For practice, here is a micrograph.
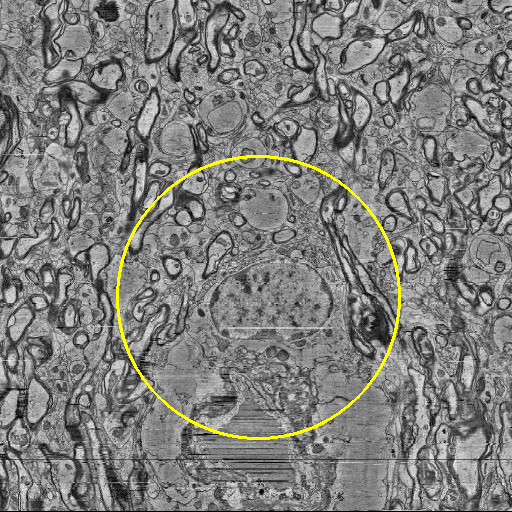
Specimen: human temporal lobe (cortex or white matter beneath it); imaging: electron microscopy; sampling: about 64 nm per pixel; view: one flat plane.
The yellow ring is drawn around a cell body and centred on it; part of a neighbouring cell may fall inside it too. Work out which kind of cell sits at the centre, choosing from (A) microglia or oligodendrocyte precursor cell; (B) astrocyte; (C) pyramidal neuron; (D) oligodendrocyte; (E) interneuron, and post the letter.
A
